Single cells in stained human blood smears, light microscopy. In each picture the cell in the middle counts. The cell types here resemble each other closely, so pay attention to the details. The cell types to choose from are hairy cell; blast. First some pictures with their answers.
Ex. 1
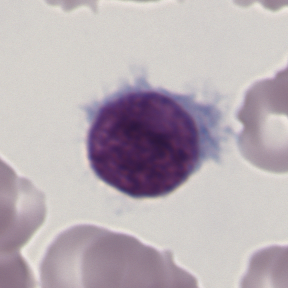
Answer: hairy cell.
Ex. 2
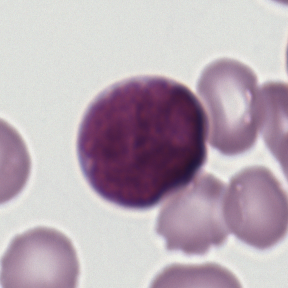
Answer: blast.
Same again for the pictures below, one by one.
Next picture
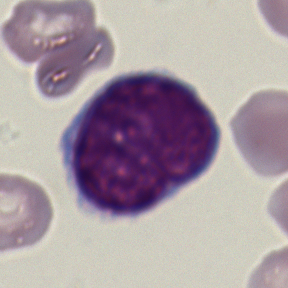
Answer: blast.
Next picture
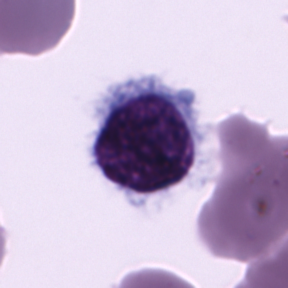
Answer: hairy cell.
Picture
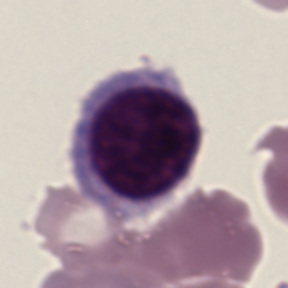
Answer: hairy cell.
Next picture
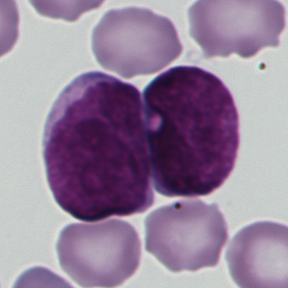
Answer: blast.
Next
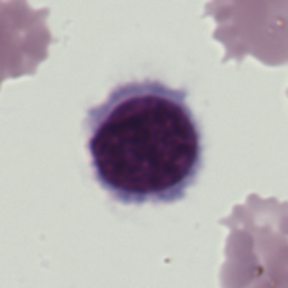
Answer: hairy cell.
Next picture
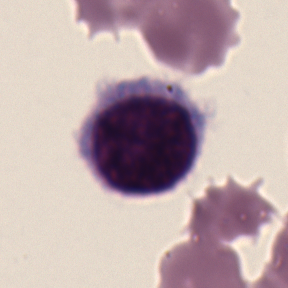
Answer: hairy cell.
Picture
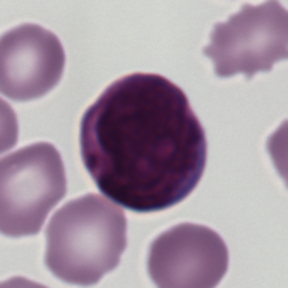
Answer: blast.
